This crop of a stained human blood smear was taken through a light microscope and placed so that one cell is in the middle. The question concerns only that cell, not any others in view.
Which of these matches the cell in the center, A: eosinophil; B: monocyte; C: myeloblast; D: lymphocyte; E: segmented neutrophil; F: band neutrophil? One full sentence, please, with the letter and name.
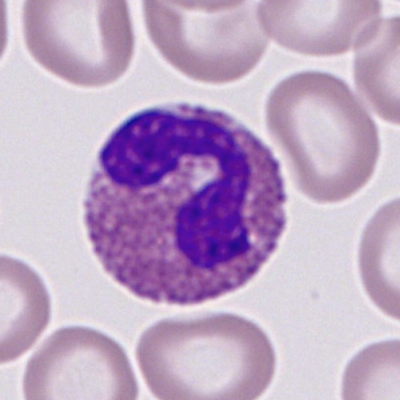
Option A is correct in that the central cell is an eosinophil.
